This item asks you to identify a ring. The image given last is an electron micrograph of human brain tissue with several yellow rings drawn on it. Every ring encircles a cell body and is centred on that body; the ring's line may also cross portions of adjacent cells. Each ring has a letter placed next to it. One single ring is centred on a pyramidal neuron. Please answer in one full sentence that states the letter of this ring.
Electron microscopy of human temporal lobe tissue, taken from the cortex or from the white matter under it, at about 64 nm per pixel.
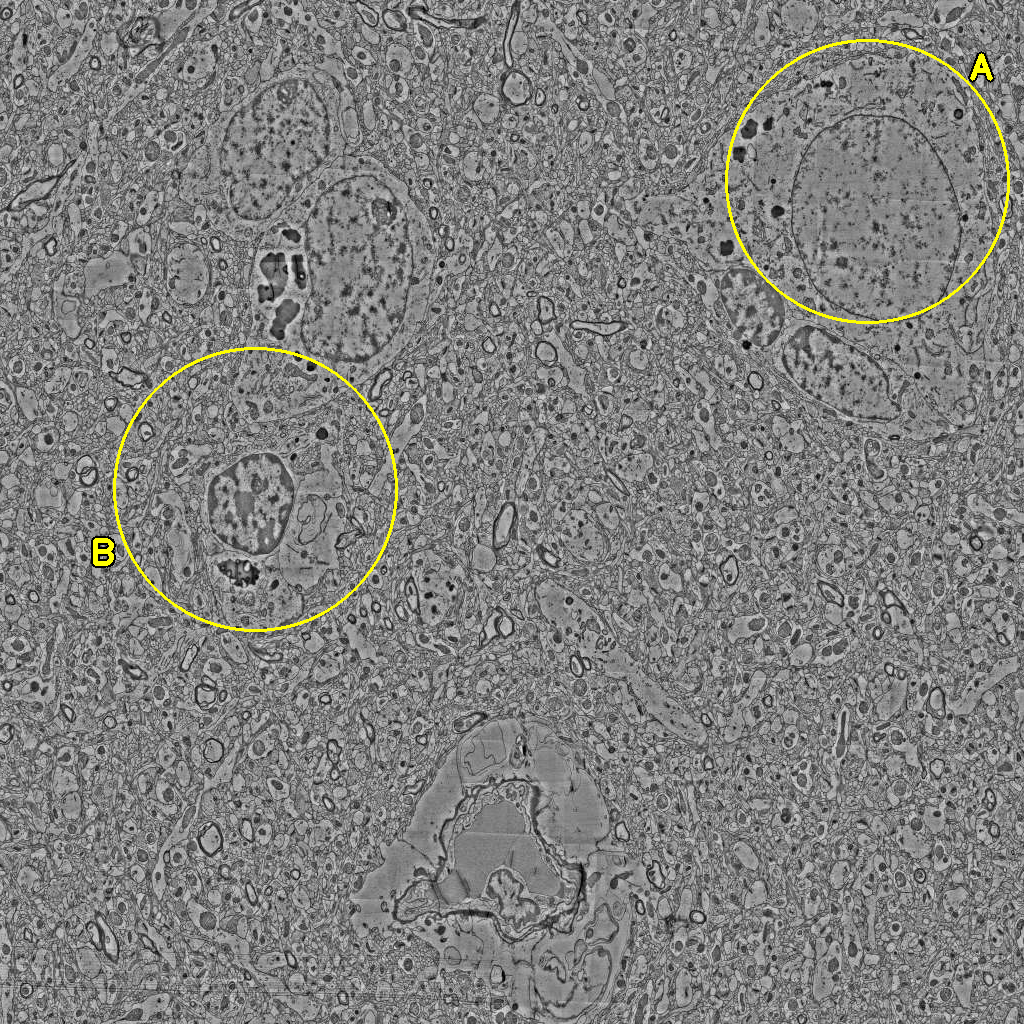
My answer is letter A, the ring centred on the cell asked for.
